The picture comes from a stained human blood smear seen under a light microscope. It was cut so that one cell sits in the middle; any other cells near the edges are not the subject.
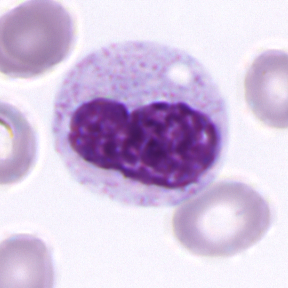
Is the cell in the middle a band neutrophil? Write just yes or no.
yes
